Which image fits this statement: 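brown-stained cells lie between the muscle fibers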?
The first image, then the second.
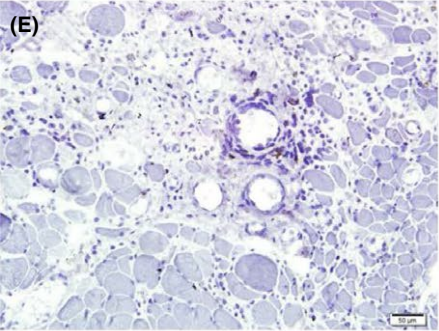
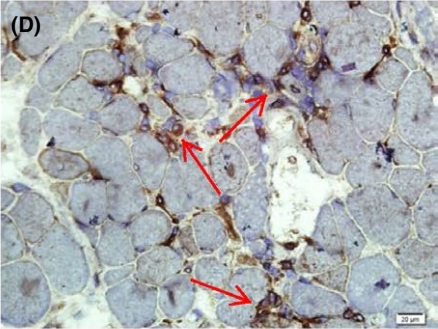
the second image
